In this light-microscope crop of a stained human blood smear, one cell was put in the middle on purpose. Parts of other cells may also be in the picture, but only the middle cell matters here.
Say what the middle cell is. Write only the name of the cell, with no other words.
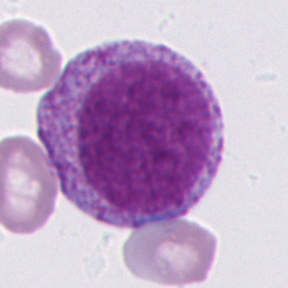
promyelocyte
